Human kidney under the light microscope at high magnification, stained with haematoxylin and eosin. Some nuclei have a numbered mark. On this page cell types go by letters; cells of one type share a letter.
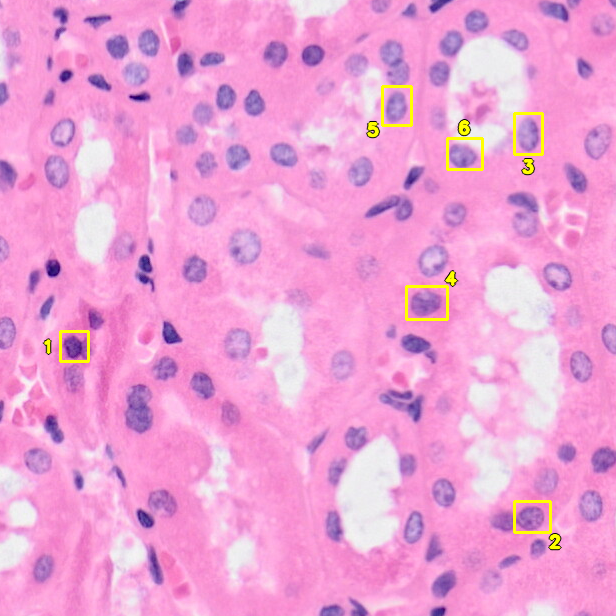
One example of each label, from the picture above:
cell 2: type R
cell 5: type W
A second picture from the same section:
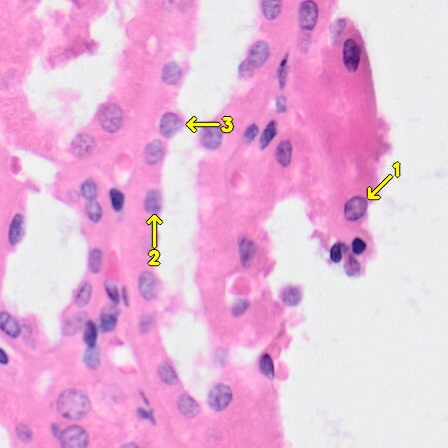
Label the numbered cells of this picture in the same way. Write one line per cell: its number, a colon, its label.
1: type R
2: type W
3: type W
